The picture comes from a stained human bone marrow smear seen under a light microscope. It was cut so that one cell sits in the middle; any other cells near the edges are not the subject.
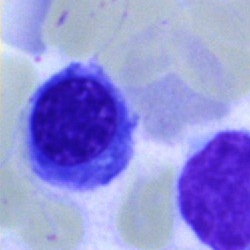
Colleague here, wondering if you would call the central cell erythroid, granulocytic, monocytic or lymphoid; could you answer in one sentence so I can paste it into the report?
The lineage represented by the central cell is erythroid.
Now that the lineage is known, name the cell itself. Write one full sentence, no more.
On this slide crop, the central cell is an erythroblast.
